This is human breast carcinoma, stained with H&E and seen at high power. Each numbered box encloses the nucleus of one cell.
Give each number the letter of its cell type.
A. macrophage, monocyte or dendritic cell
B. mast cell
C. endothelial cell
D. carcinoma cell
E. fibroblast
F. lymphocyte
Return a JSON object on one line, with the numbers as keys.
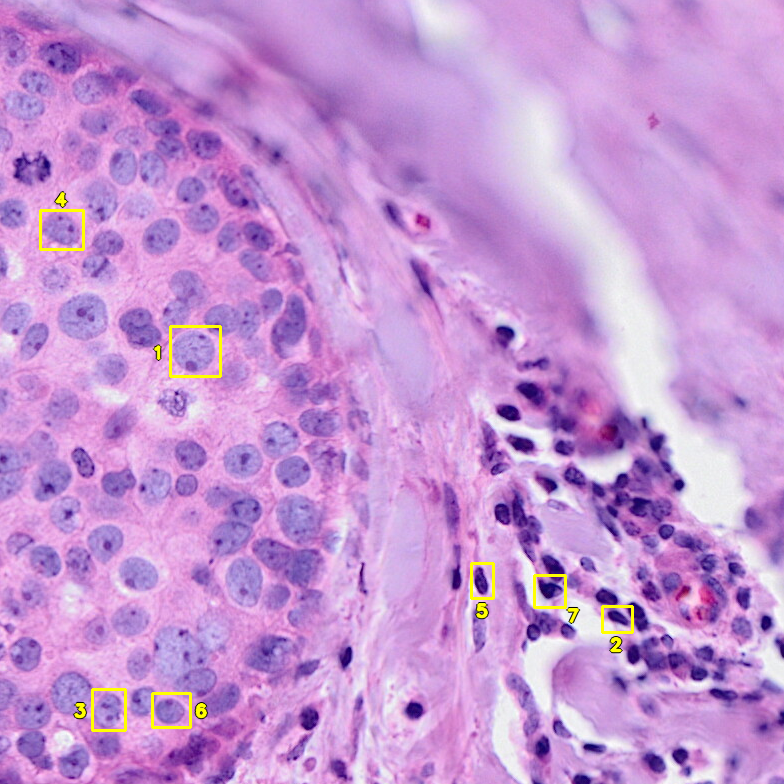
{"1": "D", "2": "F", "3": "D", "4": "D", "5": "F", "6": "D", "7": "F"}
